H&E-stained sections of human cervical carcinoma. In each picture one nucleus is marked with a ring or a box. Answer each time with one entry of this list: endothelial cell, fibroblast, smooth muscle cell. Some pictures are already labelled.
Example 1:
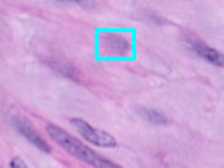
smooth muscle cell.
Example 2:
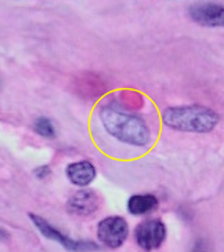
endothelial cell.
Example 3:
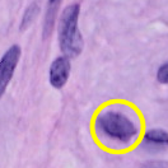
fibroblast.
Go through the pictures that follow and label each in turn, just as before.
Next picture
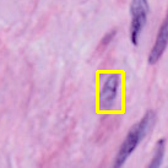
smooth muscle cell.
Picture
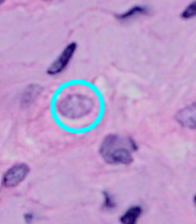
endothelial cell.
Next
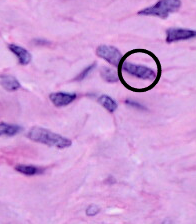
fibroblast.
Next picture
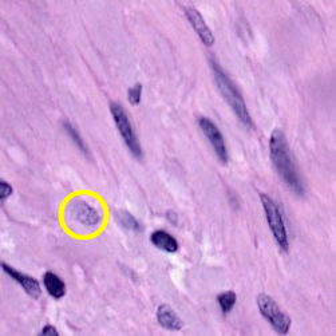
fibroblast.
